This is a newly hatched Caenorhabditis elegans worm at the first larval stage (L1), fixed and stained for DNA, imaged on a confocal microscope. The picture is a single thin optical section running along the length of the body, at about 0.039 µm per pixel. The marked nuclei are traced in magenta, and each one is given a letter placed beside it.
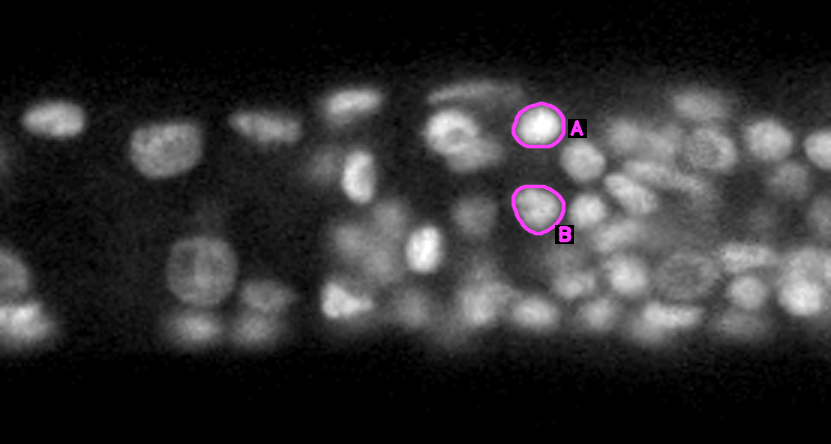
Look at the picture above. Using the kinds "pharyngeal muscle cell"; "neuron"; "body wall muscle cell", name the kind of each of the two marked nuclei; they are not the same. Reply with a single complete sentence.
A belongs to a neuron and B to a pharyngeal muscle cell.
